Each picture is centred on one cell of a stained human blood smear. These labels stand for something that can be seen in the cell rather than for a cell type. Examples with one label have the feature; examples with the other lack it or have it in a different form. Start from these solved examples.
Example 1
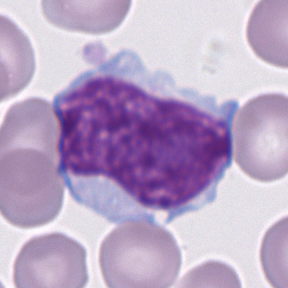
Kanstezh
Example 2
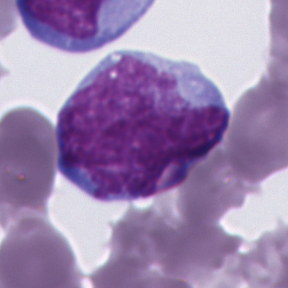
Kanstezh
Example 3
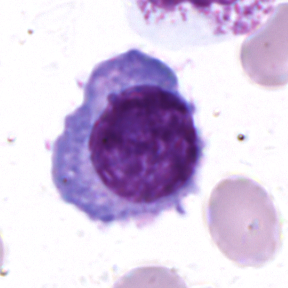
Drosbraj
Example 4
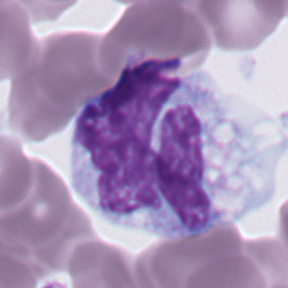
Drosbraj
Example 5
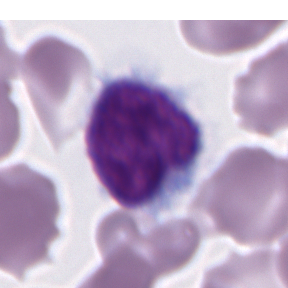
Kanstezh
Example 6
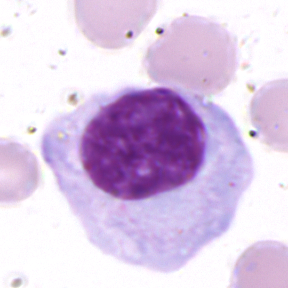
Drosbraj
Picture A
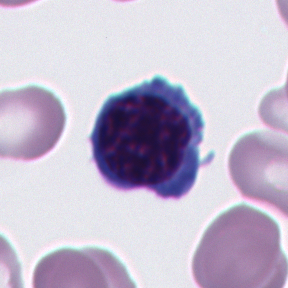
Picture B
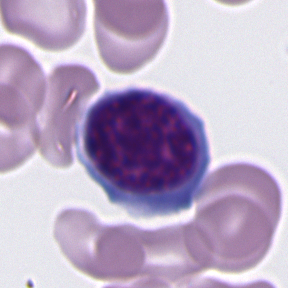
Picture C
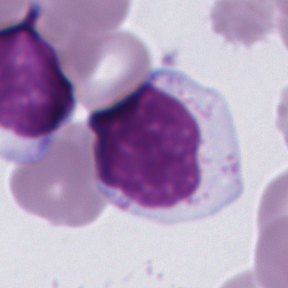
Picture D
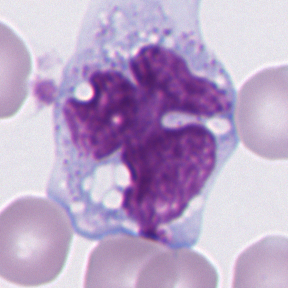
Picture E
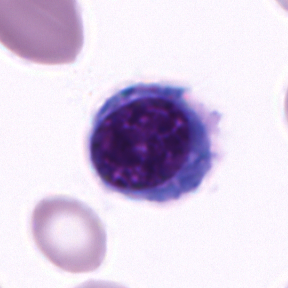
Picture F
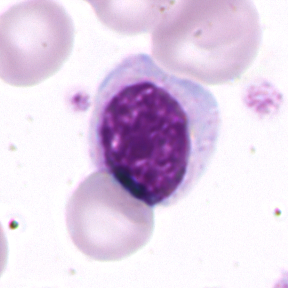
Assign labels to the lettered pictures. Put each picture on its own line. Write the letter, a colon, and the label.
A: Kanstezh
B: Kanstezh
C: Kanstezh
D: Drosbraj
E: Kanstezh
F: Kanstezh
